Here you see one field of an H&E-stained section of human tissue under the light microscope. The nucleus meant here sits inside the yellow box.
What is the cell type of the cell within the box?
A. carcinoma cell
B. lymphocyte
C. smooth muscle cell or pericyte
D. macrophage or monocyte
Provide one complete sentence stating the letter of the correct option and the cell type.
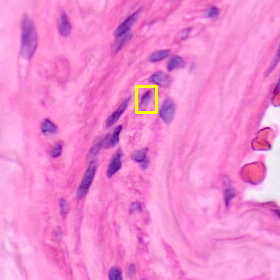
Option C gets it right, as the cell within the box is a smooth muscle cell or pericyte.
